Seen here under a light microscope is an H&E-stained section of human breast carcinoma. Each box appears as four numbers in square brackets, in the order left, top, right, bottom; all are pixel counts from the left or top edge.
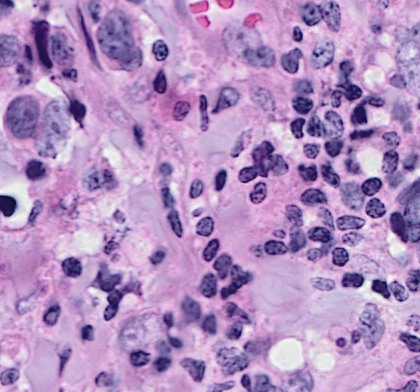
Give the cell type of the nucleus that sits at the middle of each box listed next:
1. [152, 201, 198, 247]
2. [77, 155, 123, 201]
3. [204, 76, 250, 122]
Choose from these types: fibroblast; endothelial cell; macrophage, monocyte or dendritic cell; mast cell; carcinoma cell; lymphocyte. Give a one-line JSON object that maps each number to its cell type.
{"1": "lymphocyte", "2": "macrophage, monocyte or dendritic cell", "3": "macrophage, monocyte or dendritic cell"}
